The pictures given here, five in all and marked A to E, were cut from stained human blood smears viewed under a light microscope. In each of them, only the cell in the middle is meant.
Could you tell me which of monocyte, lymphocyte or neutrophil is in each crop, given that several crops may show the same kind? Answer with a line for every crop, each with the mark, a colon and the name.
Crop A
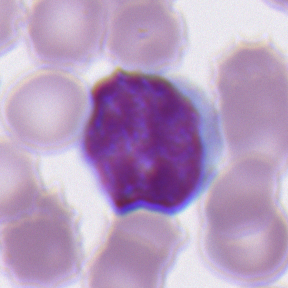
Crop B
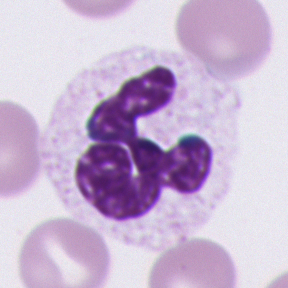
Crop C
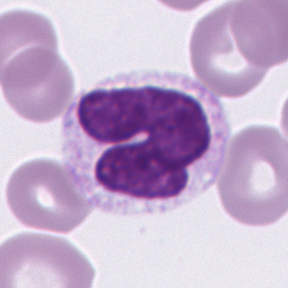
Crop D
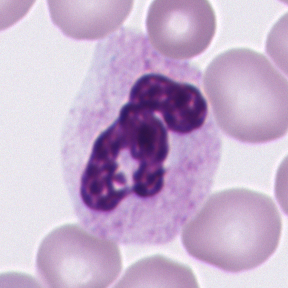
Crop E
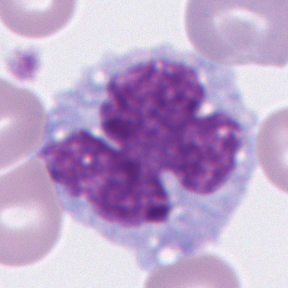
A: lymphocyte
B: neutrophil
C: neutrophil
D: neutrophil
E: monocyte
